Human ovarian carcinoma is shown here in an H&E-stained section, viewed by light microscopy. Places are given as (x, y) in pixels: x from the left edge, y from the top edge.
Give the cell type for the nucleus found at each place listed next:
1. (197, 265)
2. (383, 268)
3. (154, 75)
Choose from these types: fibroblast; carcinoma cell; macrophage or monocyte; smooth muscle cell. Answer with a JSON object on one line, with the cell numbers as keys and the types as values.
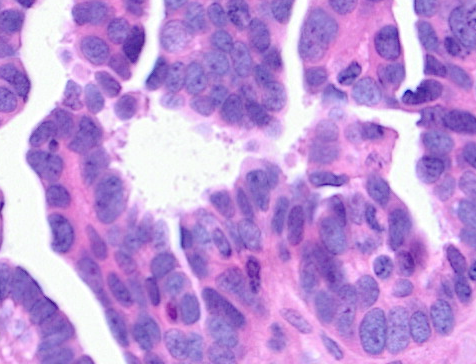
{"1": "carcinoma cell", "2": "macrophage or monocyte", "3": "carcinoma cell"}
